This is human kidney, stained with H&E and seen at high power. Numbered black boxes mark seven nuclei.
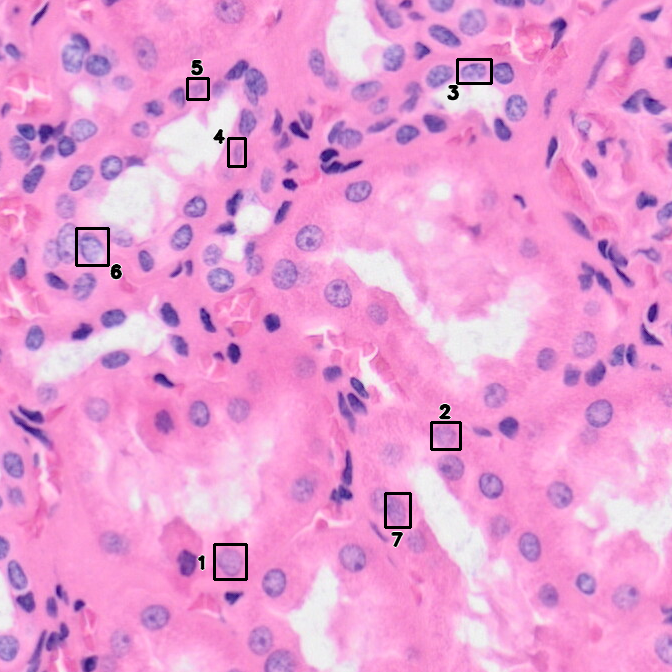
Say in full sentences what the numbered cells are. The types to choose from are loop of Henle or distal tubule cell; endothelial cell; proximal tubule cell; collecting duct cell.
Cell 1 is a proximal tubule cell, cell 2 is a proximal tubule cell, cell 3 is a collecting duct cell, cell 4 is a collecting duct cell, cell 5 is a collecting duct cell, cell 6 is a collecting duct cell and cell 7 is a proximal tubule cell.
